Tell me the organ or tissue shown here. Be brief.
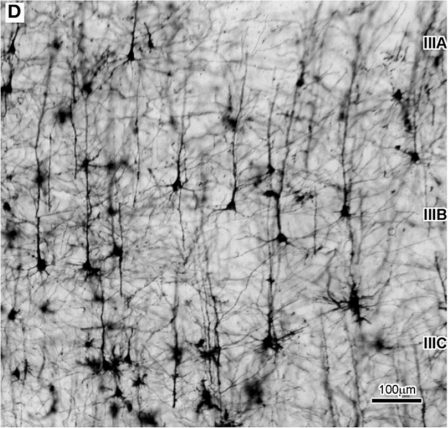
neocortex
